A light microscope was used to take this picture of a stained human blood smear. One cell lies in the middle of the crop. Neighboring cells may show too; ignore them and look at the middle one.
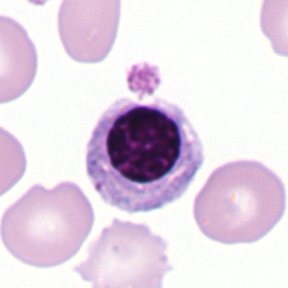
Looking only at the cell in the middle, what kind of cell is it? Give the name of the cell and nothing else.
normoblast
